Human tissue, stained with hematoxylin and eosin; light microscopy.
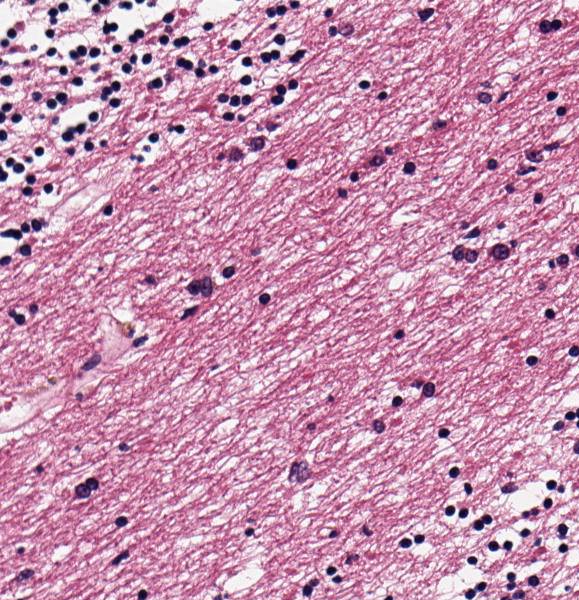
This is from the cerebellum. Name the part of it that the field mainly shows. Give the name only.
white matter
